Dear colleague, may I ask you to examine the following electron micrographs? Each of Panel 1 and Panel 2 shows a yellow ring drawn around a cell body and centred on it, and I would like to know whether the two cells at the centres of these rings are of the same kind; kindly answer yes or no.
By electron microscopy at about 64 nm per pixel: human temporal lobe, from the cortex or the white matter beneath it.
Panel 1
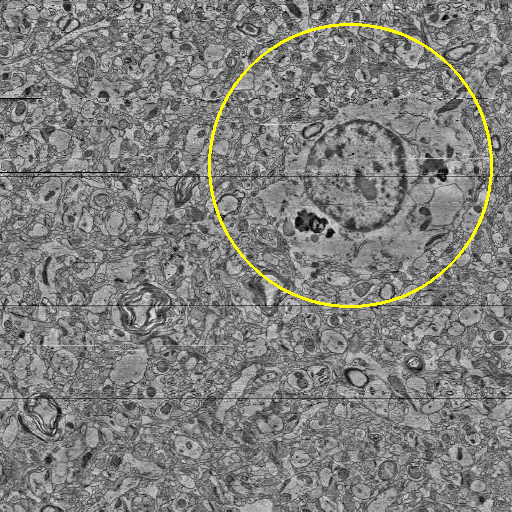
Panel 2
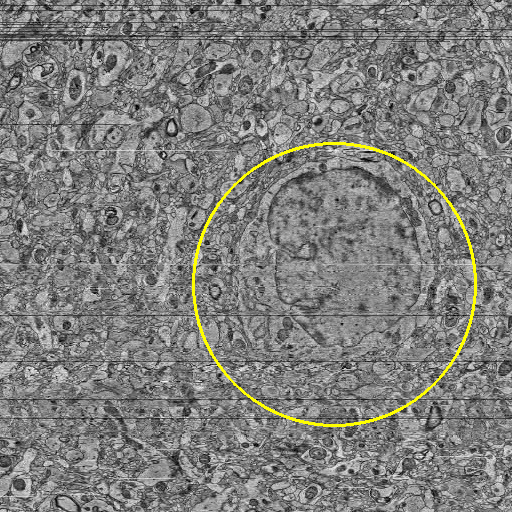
no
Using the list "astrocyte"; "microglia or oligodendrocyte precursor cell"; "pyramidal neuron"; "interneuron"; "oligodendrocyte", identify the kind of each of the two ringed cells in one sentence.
The first is an astrocyte and the second is an interneuron.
